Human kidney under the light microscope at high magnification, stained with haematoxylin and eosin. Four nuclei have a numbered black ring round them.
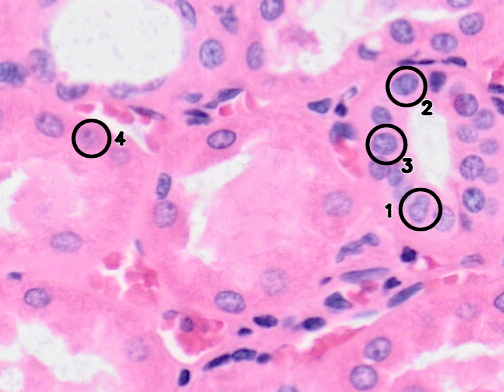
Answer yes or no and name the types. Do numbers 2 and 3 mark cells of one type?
Yes, cell 2 is among the collecting duct cells, and cell 3 is as well.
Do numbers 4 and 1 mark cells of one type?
No, while cell 4 is a proximal tubule cell, cell 1 is a collecting duct cell.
